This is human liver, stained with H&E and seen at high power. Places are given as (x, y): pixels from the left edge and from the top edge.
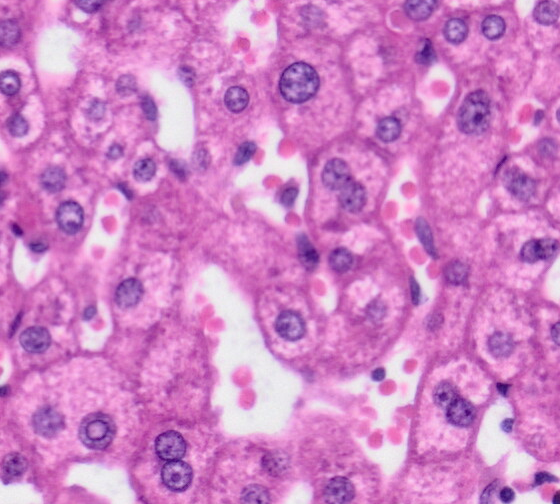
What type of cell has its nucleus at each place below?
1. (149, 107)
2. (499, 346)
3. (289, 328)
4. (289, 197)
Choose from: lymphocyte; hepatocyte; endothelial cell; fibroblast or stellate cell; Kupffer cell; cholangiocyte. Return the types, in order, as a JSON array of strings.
["Kupffer cell", "hepatocyte", "hepatocyte", "Kupffer cell"]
